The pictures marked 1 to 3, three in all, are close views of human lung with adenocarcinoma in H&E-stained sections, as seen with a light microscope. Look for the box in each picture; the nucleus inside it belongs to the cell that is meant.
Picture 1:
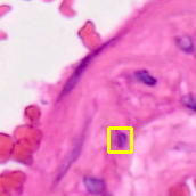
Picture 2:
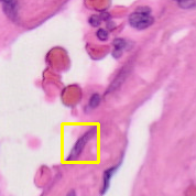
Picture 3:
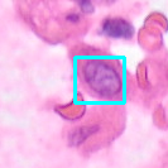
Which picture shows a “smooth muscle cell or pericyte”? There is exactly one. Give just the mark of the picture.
1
